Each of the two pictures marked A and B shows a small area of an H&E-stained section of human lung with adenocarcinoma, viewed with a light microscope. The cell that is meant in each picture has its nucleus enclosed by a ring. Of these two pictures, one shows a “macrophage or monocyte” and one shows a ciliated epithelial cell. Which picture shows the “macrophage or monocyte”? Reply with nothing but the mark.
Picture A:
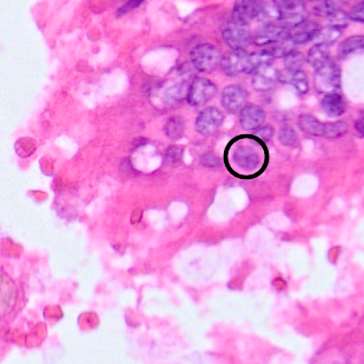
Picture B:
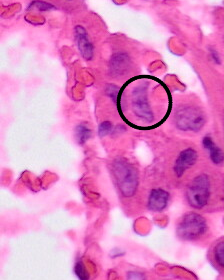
B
